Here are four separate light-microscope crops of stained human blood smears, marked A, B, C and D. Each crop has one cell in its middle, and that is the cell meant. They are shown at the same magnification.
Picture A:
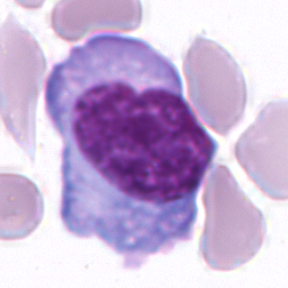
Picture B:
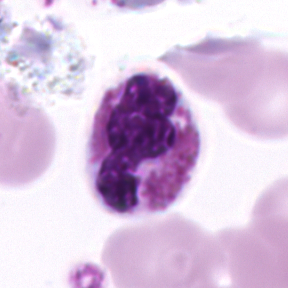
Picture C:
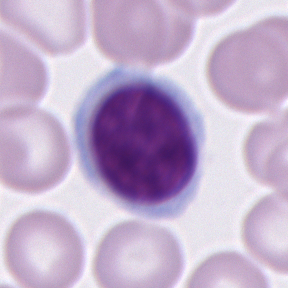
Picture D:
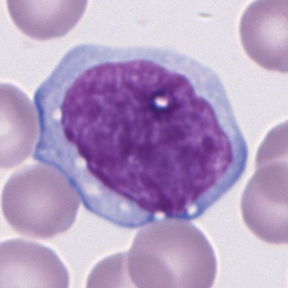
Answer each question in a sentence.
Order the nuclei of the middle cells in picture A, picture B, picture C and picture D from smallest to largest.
Going up, they run B, C, A, D.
